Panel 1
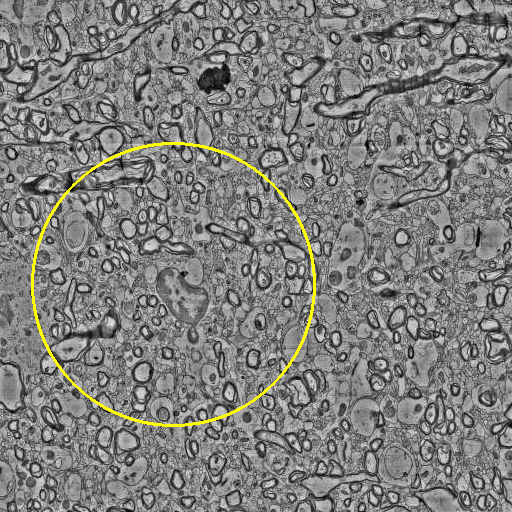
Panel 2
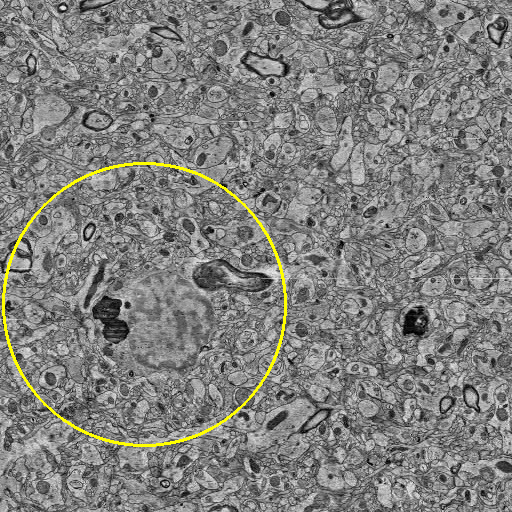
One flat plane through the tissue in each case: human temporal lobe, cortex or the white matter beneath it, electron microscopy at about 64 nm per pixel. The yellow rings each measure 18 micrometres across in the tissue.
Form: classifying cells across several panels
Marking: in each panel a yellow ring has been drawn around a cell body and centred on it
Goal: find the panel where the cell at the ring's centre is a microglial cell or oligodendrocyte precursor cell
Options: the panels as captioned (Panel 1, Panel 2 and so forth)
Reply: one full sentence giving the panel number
Panel 1 shows the wanted cell at the centre of its ring.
